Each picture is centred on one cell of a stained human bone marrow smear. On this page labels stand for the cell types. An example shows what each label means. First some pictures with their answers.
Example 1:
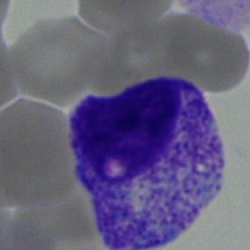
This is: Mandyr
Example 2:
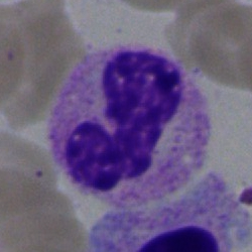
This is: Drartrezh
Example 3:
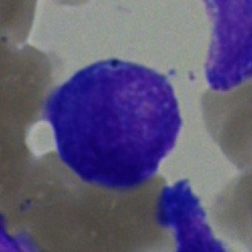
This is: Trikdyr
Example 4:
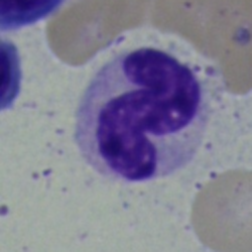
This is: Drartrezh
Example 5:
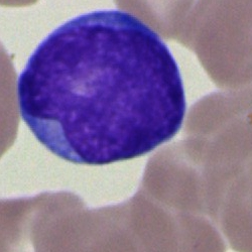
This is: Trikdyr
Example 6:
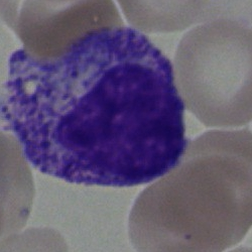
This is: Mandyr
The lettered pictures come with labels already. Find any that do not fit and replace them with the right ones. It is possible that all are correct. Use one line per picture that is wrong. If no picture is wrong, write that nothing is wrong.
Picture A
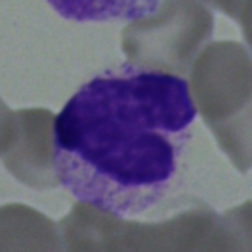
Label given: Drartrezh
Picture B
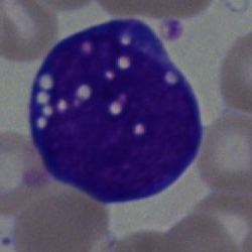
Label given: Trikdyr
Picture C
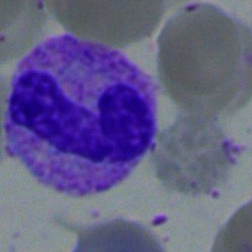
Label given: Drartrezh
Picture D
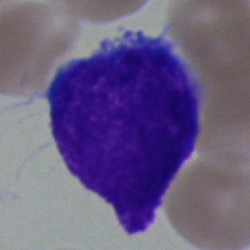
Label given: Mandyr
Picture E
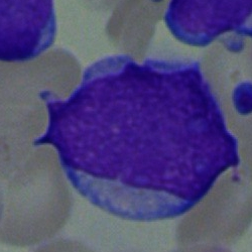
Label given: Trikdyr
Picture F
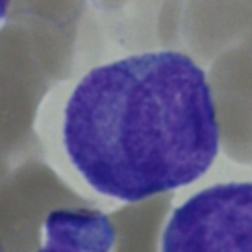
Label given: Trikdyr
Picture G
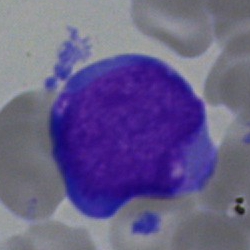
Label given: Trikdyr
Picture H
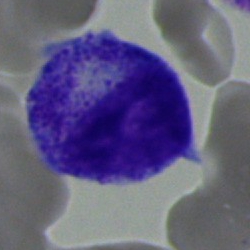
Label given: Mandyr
D is labelled Mandyr; correct label: Trikdyr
